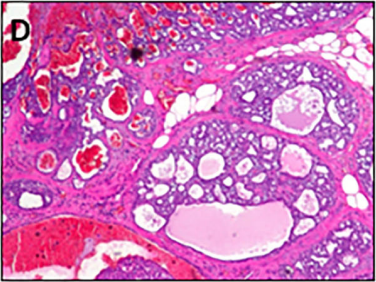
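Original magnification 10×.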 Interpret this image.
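This is a carcinoma whose nests are riddled with holes, giving a sieve-like or cribriform look. Each nest is a rounded island of tumor cells with purple nuclei, and within it lie many round spaces of different size, several filled with smooth pale pink secretion; one large space holds a broad pool of it. Thin pink bands of fibrous tissue outline the islands. At the upper left, smaller nests lie beside spaces filled with red blood cells. The regular punched-out spaces within solid sheets of epithelium are what define this pattern.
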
